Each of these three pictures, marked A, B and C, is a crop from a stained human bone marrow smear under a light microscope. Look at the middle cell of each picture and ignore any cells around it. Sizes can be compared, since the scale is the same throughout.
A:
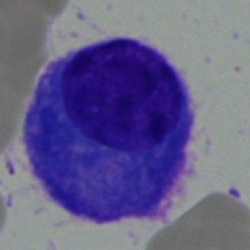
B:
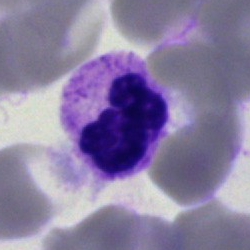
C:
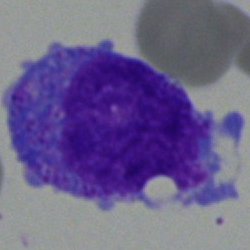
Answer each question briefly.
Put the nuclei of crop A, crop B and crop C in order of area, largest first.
C, A, B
